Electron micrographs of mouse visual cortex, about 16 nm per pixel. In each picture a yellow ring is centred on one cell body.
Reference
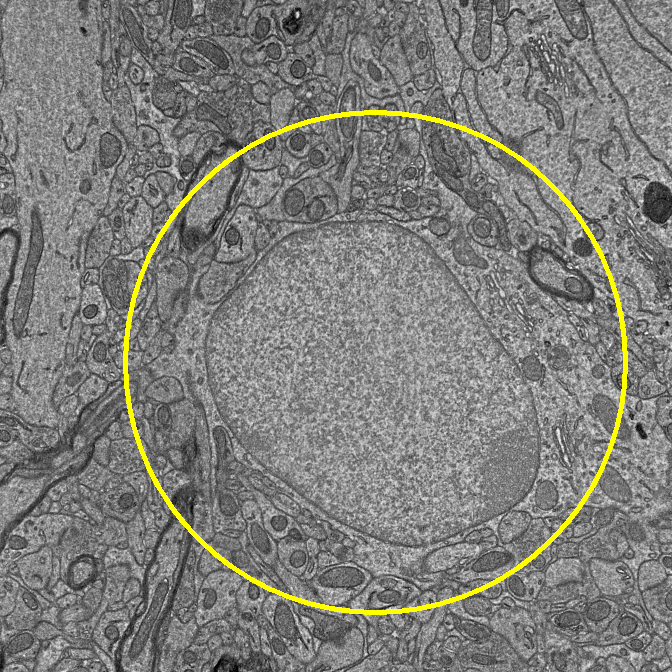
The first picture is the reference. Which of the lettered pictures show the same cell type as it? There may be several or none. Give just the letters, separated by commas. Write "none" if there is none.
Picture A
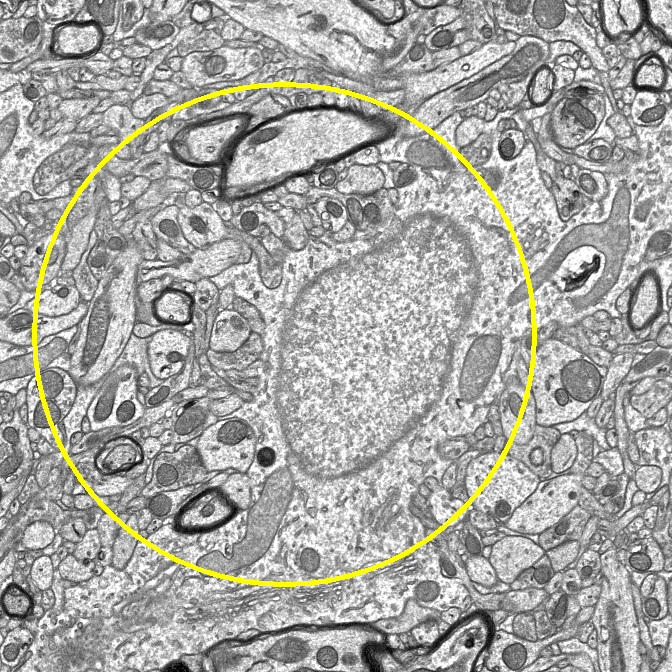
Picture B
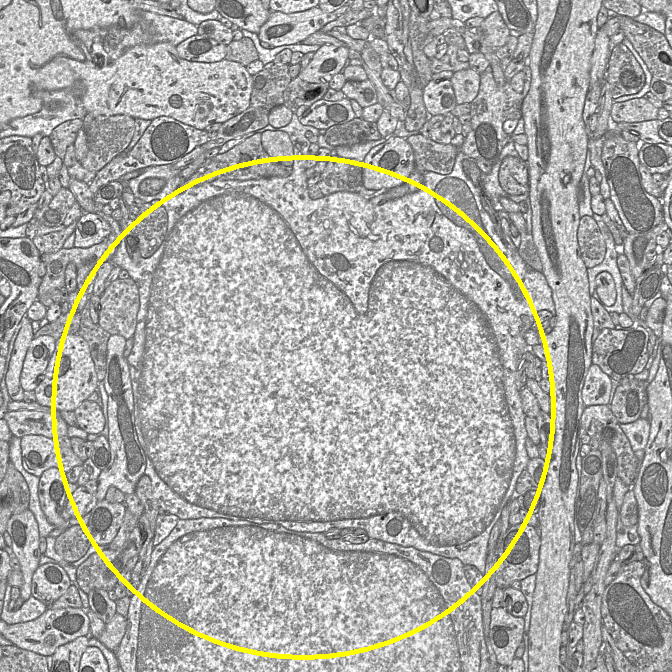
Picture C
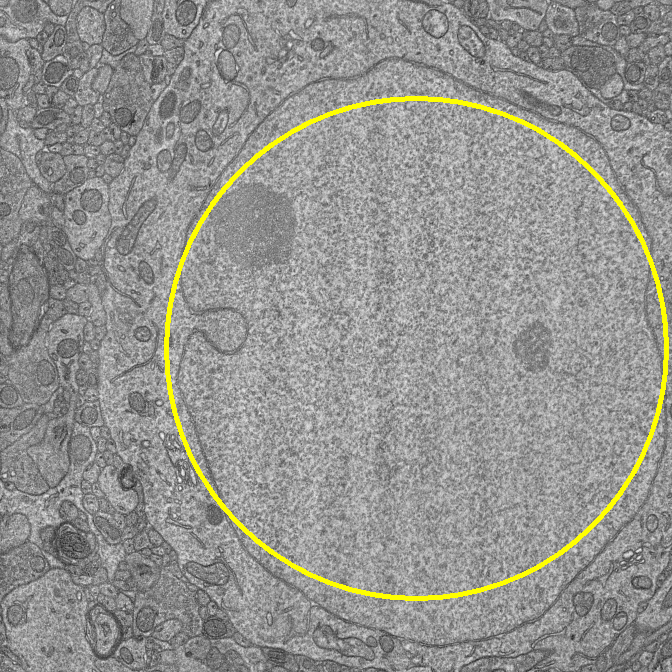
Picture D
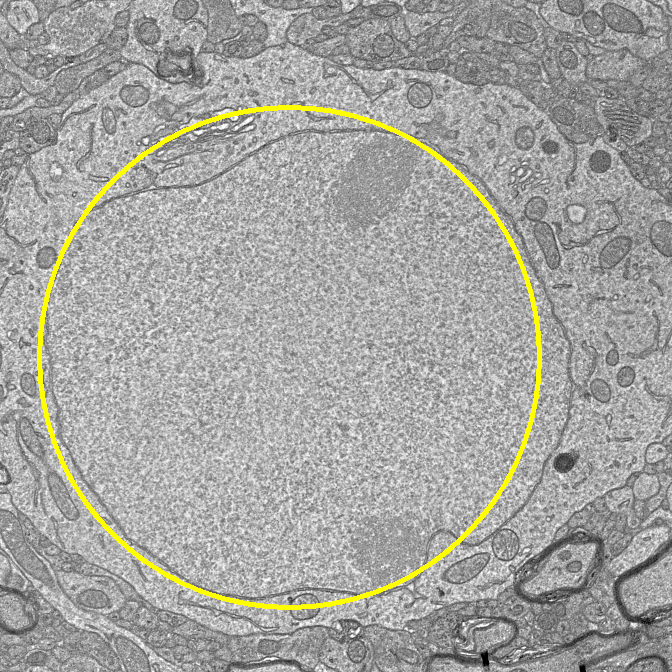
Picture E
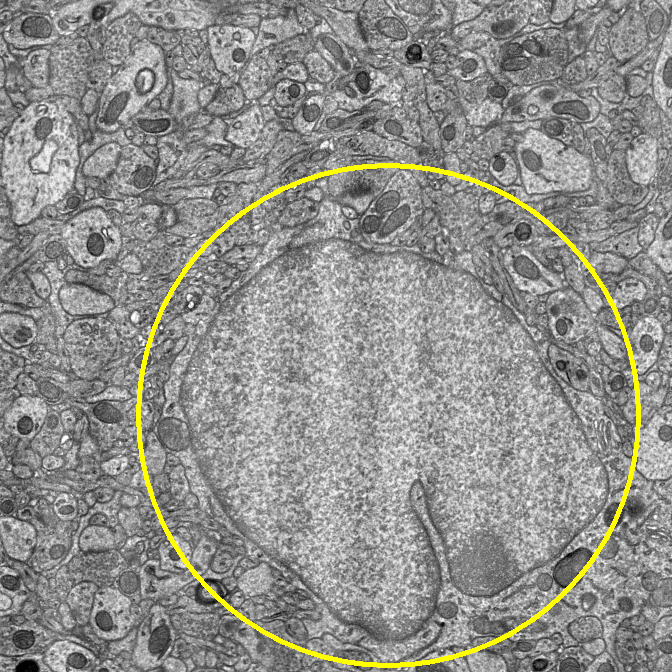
A, B, E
